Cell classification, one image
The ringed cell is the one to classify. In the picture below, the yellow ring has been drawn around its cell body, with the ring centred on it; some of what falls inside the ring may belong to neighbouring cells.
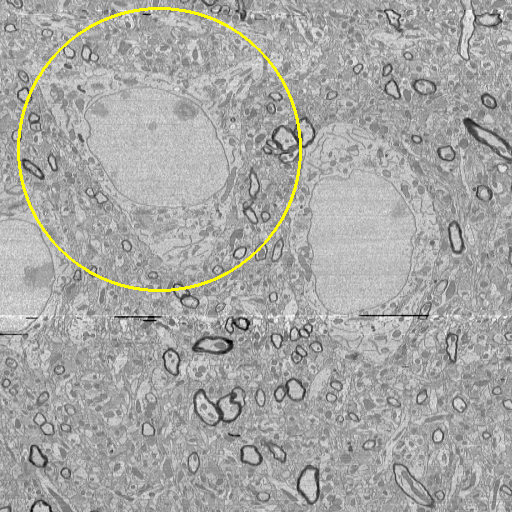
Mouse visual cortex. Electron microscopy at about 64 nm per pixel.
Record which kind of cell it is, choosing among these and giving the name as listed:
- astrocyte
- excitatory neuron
excitatory neuron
